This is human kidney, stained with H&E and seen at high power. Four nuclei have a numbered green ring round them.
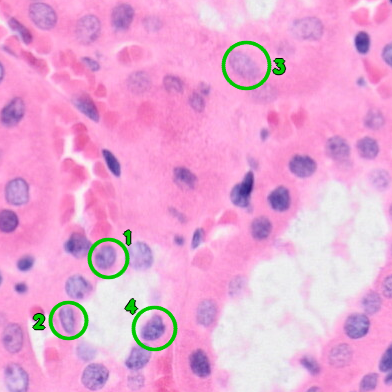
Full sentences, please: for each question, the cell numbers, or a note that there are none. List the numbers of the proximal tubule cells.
Only the cell with the number 3 is a proximal tubule cell.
